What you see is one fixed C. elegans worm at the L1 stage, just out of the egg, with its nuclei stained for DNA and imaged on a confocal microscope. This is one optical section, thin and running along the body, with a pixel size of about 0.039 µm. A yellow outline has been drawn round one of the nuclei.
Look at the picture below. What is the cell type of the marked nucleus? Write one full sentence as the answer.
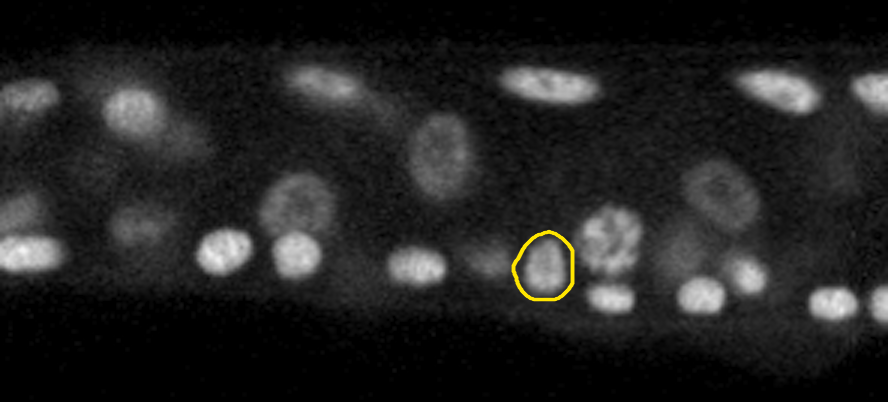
This nucleus is from a somatic gonad precursor.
